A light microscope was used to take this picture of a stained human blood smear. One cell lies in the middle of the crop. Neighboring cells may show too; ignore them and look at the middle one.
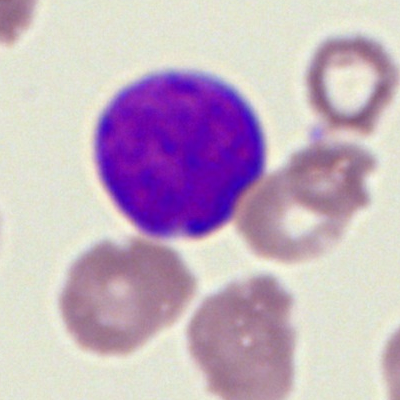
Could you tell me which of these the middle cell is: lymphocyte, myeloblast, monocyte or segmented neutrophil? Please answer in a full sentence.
Classified as a myeloblast is the cell in the middle of this crop.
